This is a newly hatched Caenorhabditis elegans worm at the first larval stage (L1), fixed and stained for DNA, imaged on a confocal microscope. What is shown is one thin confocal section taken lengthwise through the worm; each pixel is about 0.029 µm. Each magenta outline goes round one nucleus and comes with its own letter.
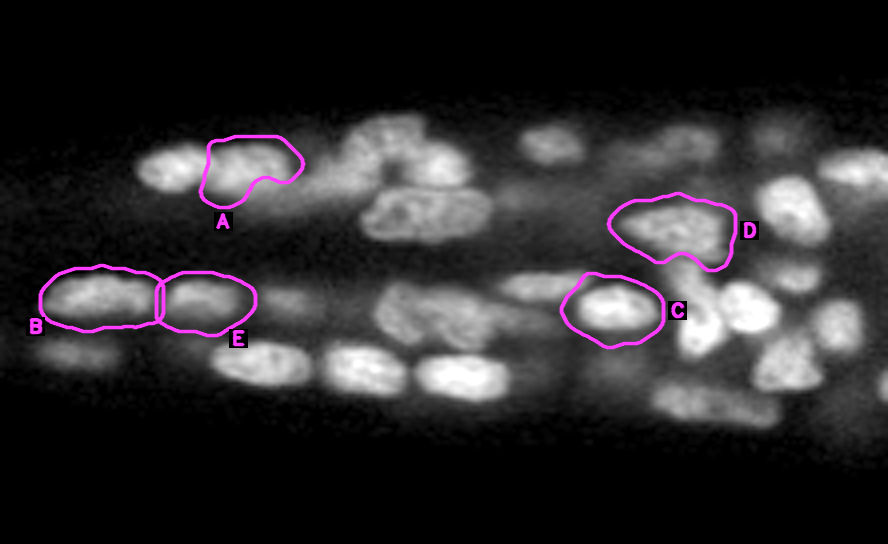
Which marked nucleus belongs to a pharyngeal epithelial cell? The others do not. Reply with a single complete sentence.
The one from a pharyngeal epithelial cell is B.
